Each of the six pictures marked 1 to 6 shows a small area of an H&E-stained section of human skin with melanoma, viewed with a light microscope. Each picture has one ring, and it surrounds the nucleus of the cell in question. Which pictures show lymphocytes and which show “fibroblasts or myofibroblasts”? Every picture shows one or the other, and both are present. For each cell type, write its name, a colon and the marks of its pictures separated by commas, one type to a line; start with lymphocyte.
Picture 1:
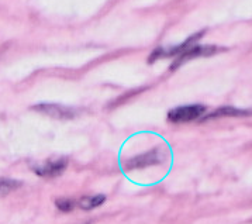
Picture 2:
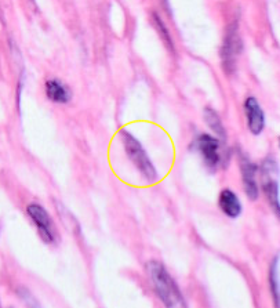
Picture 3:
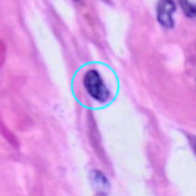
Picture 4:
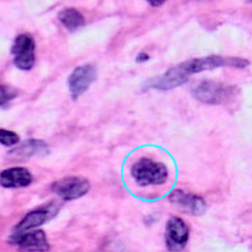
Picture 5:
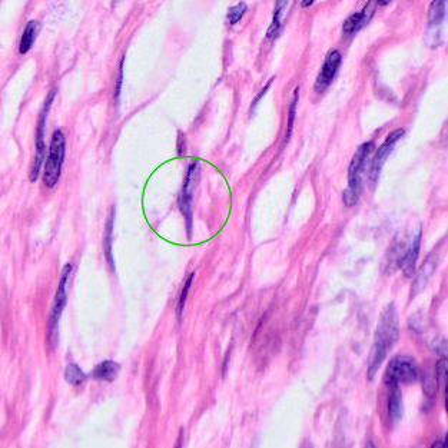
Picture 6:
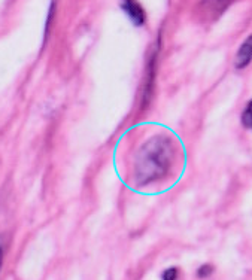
lymphocyte: 3, 4
fibroblast or myofibroblast: 1, 2, 5, 6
